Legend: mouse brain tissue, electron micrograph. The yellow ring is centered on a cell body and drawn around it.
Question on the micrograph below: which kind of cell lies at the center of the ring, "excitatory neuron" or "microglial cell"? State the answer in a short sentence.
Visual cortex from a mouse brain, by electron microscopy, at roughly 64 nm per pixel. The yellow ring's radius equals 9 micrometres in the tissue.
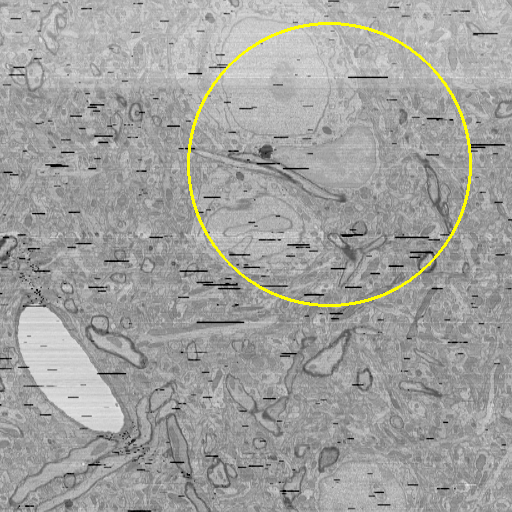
At the center of the ring lies a microglial cell.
